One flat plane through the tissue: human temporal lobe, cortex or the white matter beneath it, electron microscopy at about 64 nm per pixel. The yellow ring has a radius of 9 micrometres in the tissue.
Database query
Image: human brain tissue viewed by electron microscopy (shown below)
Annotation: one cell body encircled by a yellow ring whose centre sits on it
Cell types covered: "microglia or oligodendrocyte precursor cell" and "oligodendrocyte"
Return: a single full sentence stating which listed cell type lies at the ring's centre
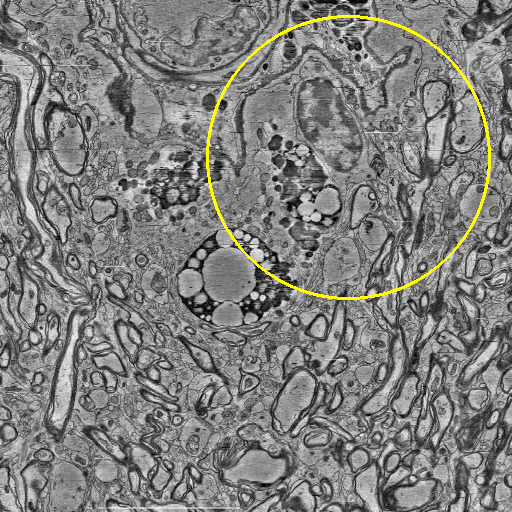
In the image, the cell lying at the ring's centre is a microglial cell or oligodendrocyte precursor cell.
